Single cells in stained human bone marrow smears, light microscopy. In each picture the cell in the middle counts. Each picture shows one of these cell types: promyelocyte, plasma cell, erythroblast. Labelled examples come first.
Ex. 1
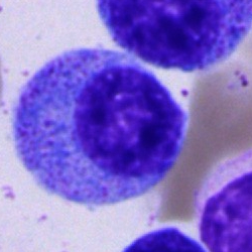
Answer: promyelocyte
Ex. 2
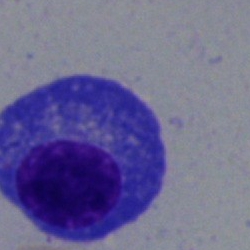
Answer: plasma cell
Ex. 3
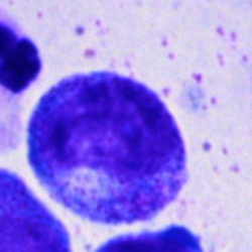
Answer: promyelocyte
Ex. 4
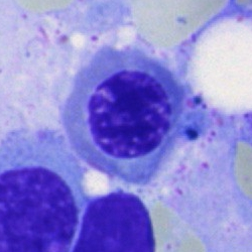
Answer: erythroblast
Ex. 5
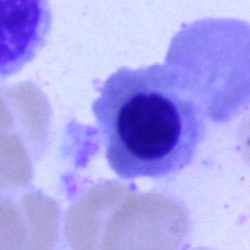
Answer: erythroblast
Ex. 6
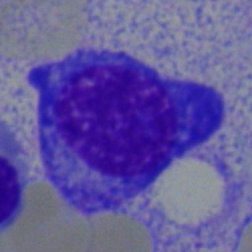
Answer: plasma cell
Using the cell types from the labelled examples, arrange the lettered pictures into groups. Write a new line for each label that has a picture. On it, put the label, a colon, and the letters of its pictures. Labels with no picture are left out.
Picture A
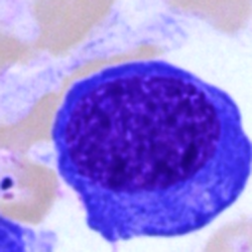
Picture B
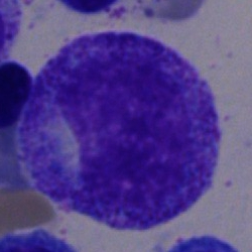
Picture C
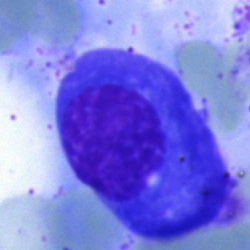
promyelocyte: B
plasma cell: C
erythroblast: A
